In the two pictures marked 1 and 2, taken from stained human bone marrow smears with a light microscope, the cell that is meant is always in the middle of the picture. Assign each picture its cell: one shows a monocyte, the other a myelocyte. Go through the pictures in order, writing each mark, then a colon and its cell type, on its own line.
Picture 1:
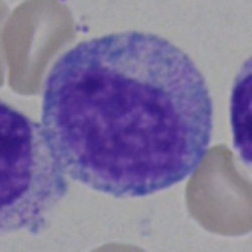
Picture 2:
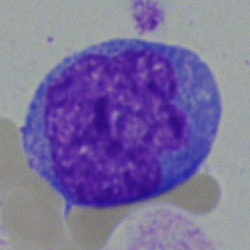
1: myelocyte
2: monocyte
